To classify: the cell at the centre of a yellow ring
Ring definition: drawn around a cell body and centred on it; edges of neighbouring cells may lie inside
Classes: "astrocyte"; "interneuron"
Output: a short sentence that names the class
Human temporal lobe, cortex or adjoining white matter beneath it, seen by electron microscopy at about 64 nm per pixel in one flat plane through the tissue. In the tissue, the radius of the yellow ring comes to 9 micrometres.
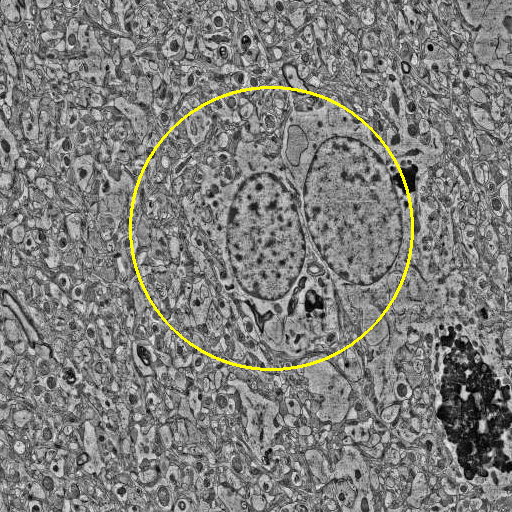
The ringed cell is an astrocyte.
